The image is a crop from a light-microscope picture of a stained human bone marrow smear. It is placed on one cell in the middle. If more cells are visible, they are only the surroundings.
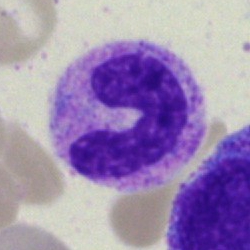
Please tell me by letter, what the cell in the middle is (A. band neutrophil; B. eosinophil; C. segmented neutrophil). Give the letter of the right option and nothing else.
A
